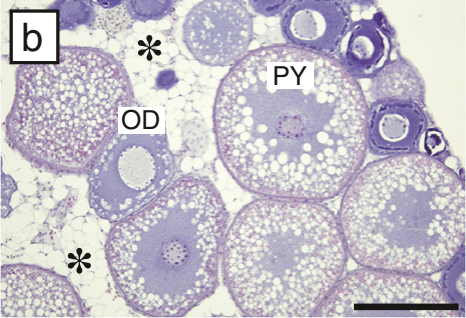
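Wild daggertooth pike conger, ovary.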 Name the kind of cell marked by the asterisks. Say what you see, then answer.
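The asterisks lie in clusters of small empty polygonal cells between the oocytes. These cells have clear, unstained interiors with thin walls. That points to this answer: adipose cells.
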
